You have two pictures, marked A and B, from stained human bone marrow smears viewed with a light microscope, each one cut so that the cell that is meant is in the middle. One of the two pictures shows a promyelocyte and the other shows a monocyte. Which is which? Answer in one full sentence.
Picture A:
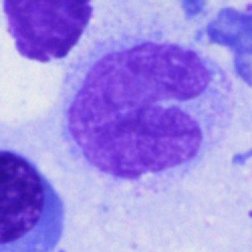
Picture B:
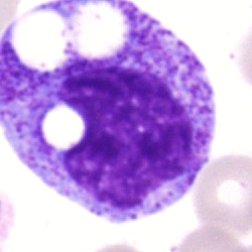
In picture A the cell is a monocyte; in picture B, a promyelocyte.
